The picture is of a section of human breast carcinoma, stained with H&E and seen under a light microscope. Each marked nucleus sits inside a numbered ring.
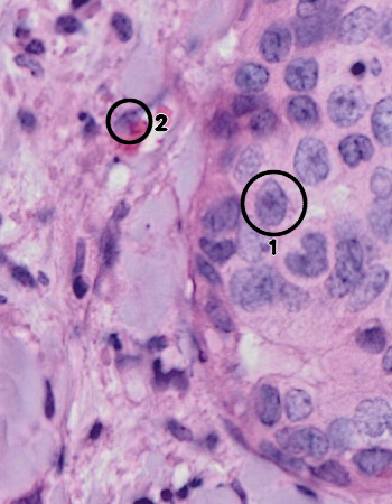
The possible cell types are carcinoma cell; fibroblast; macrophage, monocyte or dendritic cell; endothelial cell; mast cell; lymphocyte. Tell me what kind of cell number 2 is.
endothelial cell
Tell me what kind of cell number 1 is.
carcinoma cell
